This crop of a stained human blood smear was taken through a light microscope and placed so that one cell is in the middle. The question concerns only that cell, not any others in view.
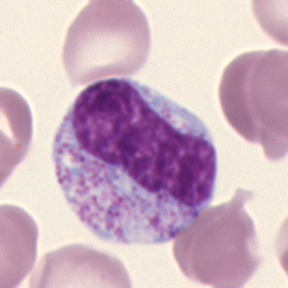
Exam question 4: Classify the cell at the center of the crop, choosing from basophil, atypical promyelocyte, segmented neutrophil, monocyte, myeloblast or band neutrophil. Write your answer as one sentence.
By classification, the middle cell of this crop is a band neutrophil.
